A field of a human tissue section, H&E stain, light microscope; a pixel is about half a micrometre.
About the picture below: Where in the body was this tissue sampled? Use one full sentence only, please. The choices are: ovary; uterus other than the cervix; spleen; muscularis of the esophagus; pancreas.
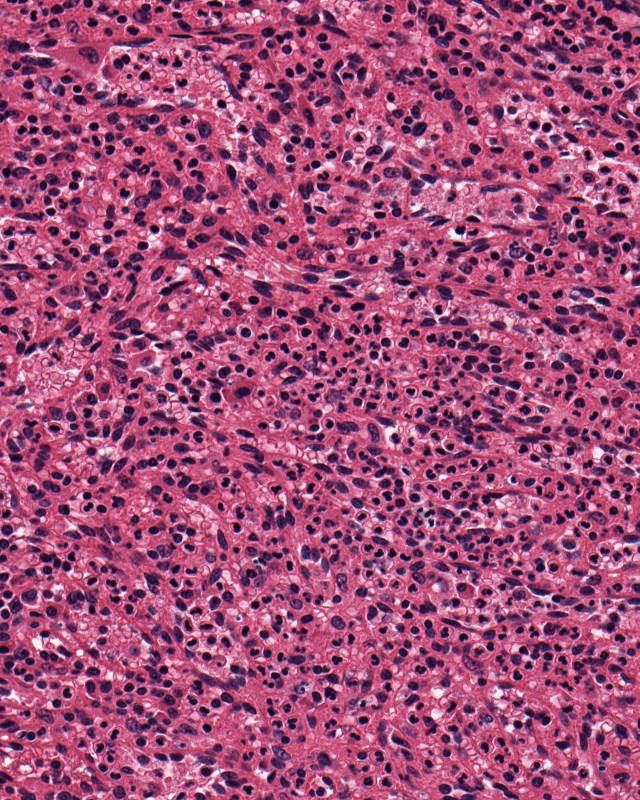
This section consists of tissue sampled from the spleen.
